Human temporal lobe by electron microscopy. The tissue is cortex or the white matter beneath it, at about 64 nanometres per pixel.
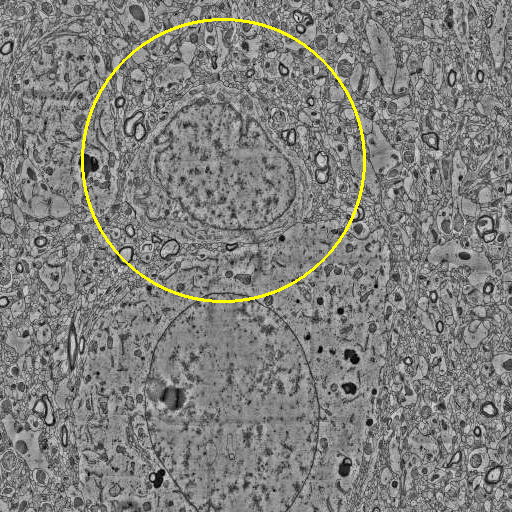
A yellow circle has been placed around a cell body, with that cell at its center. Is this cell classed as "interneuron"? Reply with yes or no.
Yes, it belongs to that class.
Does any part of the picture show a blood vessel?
No, there is no blood vessel in the image.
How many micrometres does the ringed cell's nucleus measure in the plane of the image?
In this plane the nucleus spans approximately 10 by 8 micrometers.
